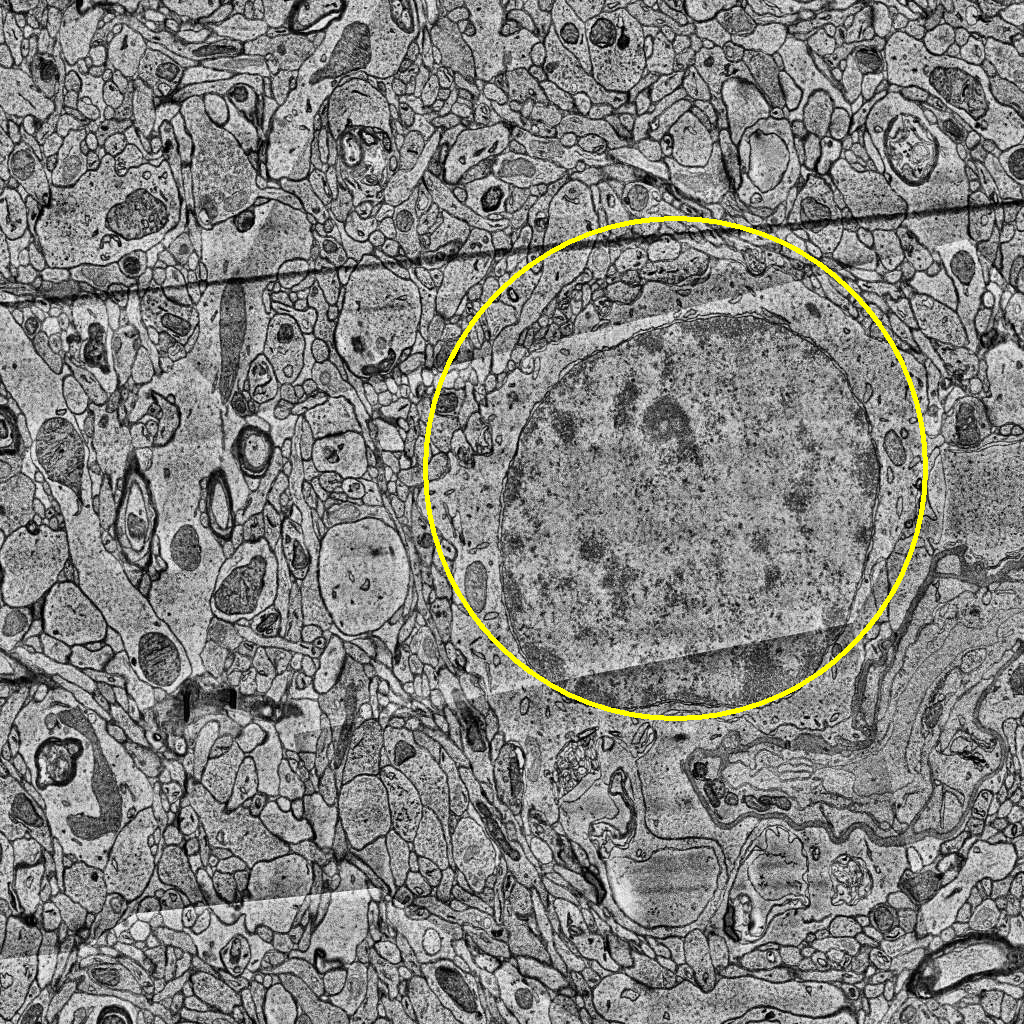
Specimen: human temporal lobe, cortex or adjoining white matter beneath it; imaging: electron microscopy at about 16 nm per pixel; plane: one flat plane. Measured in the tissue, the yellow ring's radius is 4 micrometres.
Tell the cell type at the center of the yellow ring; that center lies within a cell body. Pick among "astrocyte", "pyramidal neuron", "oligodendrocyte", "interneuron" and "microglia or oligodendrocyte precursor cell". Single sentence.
The ring's center lies in the body of a microglial cell or oligodendrocyte precursor cell.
